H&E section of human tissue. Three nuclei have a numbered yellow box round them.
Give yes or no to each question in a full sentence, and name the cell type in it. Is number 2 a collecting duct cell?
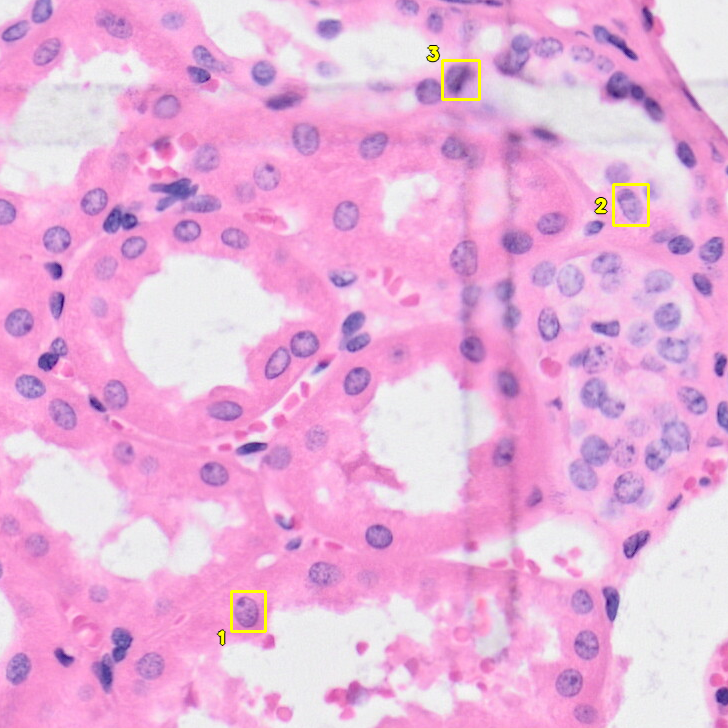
Yes, it is a collecting duct cell that carries the number 2.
